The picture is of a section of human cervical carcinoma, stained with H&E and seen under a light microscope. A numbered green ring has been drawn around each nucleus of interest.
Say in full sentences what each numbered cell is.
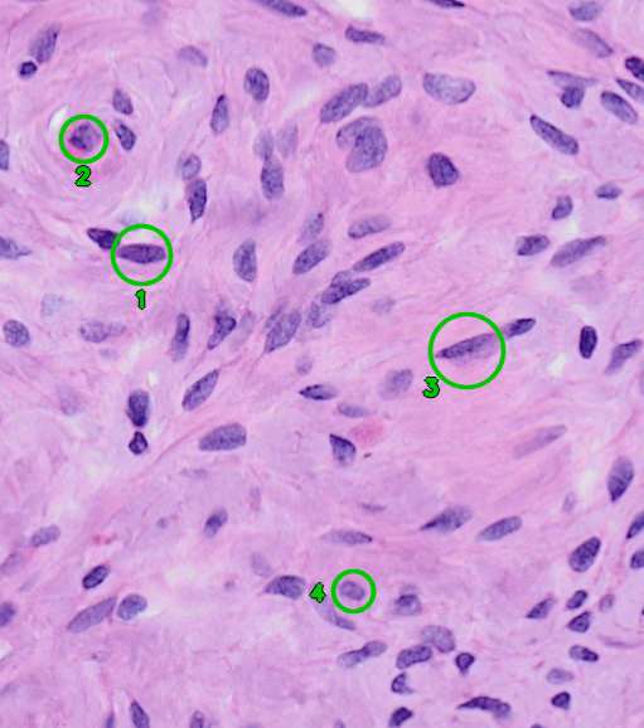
Cell 1 is a fibroblast, cell 2 is an endothelial cell, cell 3 is a fibroblast and cell 4 is a fibroblast.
